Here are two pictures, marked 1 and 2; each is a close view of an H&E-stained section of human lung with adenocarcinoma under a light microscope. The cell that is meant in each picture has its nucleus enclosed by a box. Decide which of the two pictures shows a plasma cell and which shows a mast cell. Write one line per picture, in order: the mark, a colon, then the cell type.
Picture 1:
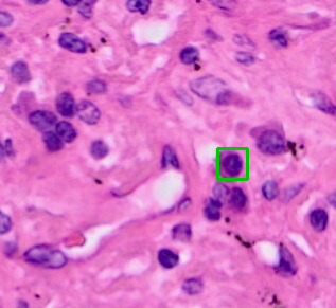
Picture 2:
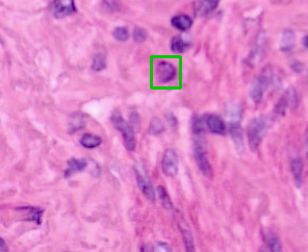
1: plasma cell
2: mast cell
